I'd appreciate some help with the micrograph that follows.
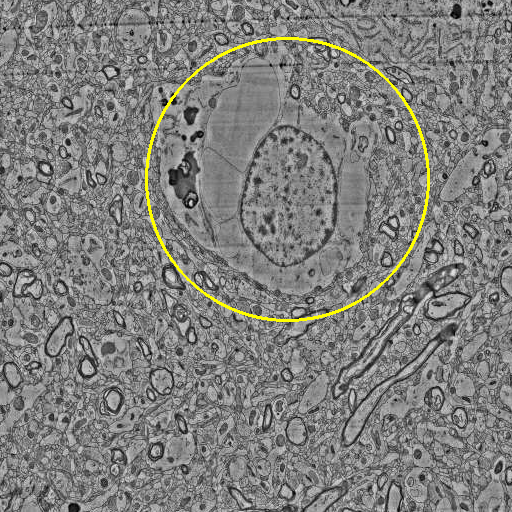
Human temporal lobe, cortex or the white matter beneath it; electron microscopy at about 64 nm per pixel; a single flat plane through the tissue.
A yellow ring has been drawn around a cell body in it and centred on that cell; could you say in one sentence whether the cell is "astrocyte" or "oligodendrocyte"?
It is an astrocyte at the centre of the ring.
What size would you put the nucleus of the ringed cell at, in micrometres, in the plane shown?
The ringed cell's nucleus is about 9 micrometres long and 6 micrometres wide in this plane.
